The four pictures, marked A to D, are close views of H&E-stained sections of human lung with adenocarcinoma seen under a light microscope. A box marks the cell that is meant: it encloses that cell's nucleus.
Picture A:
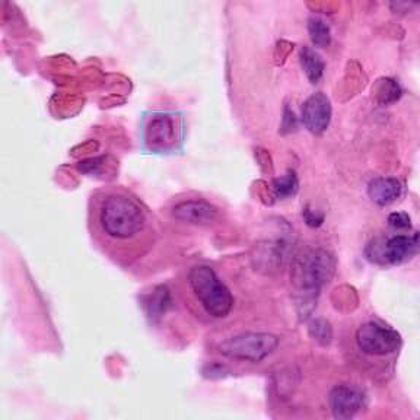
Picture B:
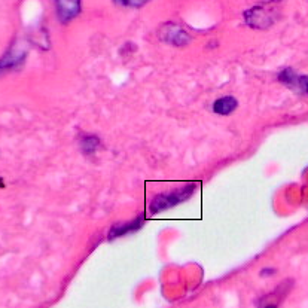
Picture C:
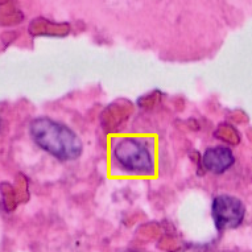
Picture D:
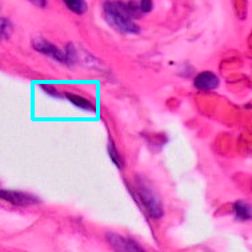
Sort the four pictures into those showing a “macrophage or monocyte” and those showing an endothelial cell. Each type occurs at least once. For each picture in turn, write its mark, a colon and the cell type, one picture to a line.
A: macrophage or monocyte
B: endothelial cell
C: macrophage or monocyte
D: endothelial cell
